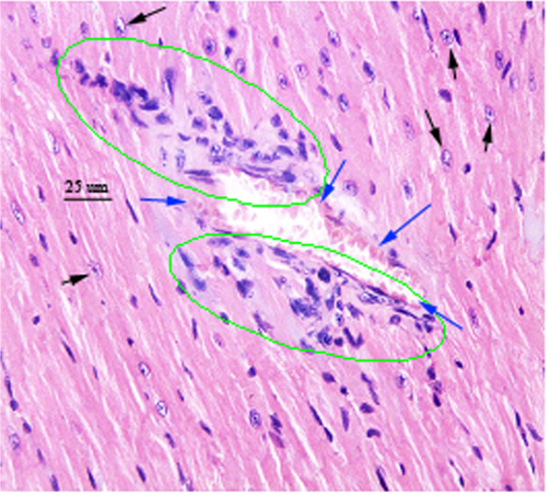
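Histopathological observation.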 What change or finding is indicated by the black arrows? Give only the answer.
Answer: myocardial cells swelling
